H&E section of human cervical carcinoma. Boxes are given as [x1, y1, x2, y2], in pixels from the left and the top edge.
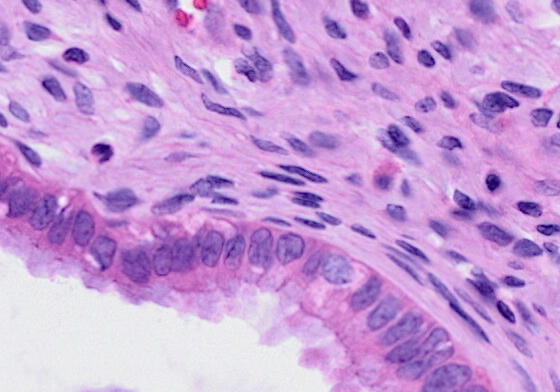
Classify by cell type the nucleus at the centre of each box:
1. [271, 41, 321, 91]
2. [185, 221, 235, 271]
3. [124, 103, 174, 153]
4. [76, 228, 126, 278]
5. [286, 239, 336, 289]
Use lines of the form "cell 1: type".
cell 1: fibroblast
cell 2: secretory epithelial cell
cell 3: fibroblast
cell 4: secretory epithelial cell
cell 5: secretory epithelial cell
